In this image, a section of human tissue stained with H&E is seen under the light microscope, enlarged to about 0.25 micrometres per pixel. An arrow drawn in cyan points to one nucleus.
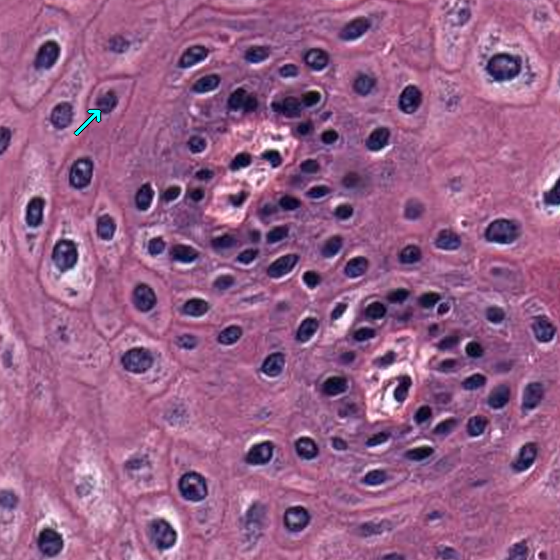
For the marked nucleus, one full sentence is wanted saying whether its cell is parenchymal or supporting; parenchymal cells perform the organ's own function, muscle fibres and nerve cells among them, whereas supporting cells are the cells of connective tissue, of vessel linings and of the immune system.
Here the marked nucleus belongs to a parenchymal cell, that is, a squamous epithelial cell.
